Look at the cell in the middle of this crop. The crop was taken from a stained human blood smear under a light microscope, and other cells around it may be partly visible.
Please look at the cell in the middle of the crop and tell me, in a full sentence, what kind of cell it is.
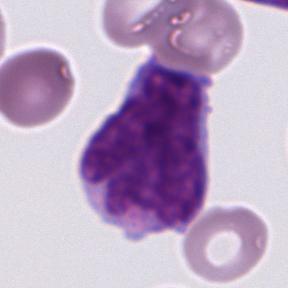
In this crop, the cell at the very middle is an atypical promyelocyte.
